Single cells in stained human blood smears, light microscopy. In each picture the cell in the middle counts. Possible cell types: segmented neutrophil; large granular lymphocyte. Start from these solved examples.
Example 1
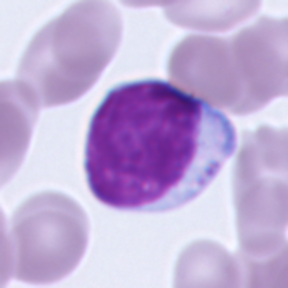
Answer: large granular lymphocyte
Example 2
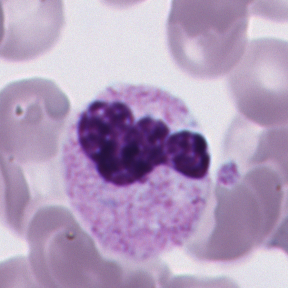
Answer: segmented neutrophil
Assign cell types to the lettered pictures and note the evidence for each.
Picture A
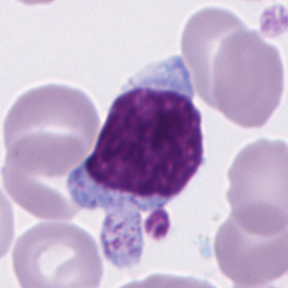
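large granular lymphocyte. Reason: The nucleus fills most of the cell.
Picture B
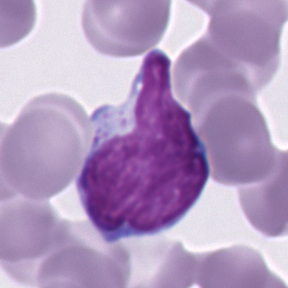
large granular lymphocyte. Reason: The cytoplasm is scant and pale blue, seen mainly at the upper left of the cell.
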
